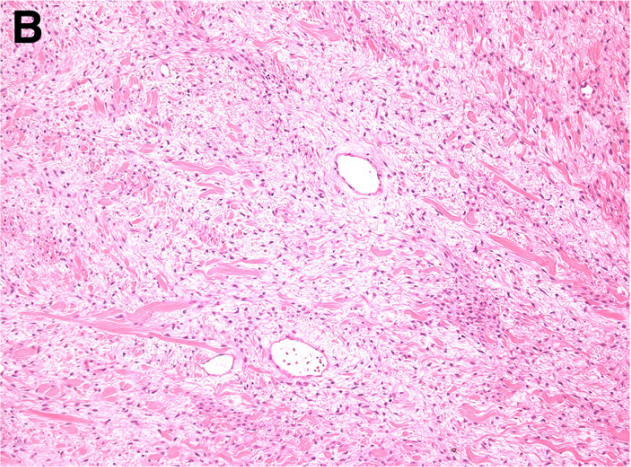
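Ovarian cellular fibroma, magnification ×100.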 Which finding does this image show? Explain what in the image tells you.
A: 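Loose, pale, watery-looking stroma. Cells are sparse and widely spaced. Pink band-like bundles run through the field. The answer: stromal edema.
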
